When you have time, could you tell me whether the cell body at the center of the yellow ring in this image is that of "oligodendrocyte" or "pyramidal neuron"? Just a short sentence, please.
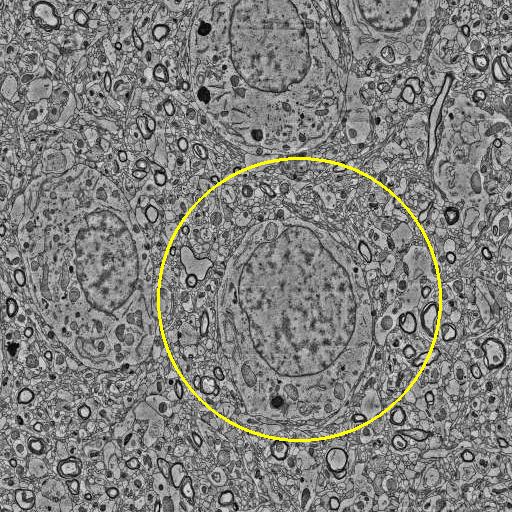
The cell body at the center of the ring is that of a pyramidal neuron.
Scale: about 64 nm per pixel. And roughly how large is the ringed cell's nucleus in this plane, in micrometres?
The nucleus appears roughly 10 by 8 micrometres in this plane.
